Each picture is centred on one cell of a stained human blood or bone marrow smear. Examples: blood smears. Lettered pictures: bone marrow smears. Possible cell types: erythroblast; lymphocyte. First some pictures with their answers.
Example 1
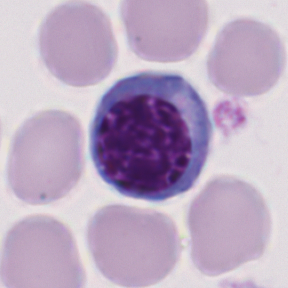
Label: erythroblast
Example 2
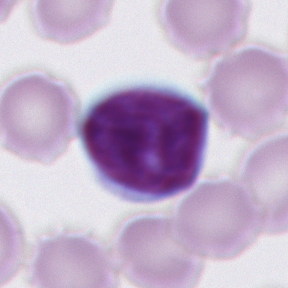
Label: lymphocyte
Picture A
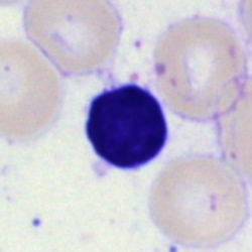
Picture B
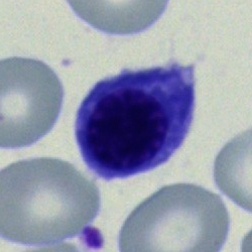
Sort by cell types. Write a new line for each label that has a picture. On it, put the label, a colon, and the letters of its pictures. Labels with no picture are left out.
erythroblast: B
lymphocyte: A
